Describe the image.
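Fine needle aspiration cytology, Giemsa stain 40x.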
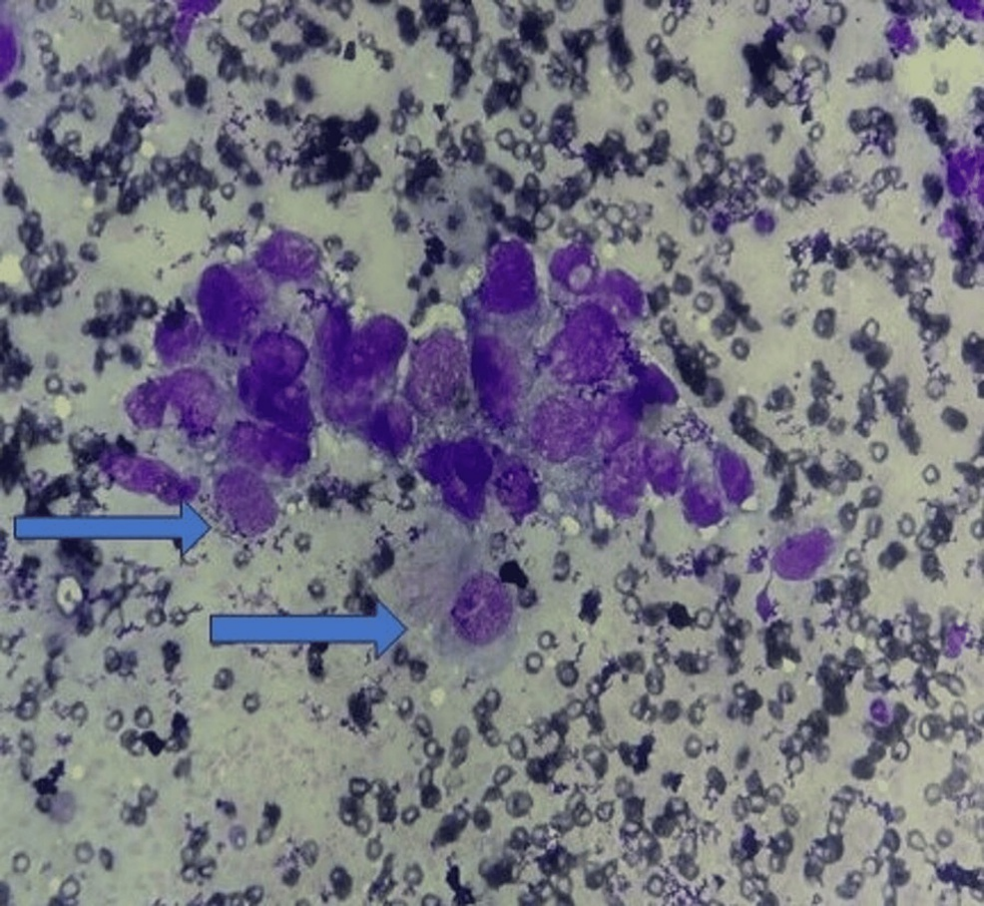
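This aspirate smear shows a cohesive cluster of cells with large ovoid, deep purple nuclei. A single cell lying below the cluster has a broad rim of pale grey-blue cytoplasm around a round purple nucleus. The background is crowded with red blood cells and small clumps of platelets.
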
